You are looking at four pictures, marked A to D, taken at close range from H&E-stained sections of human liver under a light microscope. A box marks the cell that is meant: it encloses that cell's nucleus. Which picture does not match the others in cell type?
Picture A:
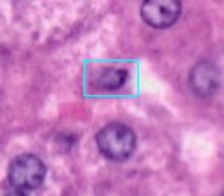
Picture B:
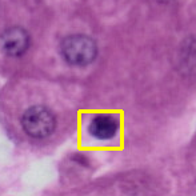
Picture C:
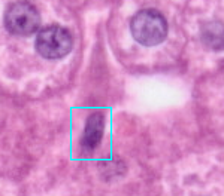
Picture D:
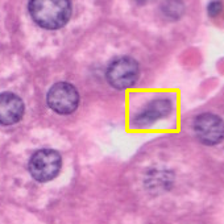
B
